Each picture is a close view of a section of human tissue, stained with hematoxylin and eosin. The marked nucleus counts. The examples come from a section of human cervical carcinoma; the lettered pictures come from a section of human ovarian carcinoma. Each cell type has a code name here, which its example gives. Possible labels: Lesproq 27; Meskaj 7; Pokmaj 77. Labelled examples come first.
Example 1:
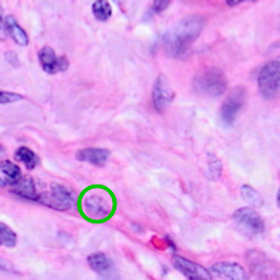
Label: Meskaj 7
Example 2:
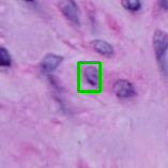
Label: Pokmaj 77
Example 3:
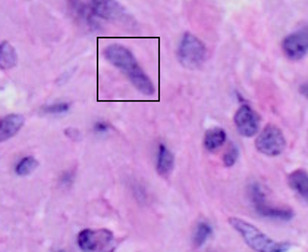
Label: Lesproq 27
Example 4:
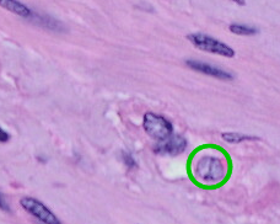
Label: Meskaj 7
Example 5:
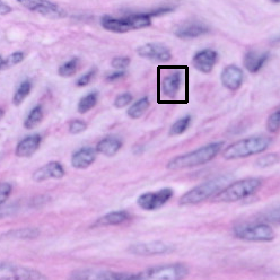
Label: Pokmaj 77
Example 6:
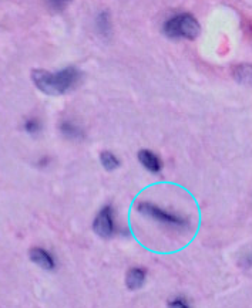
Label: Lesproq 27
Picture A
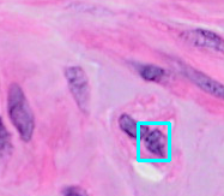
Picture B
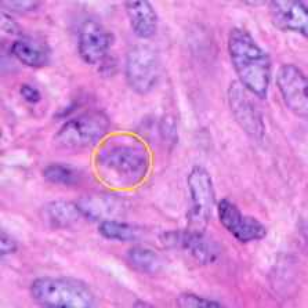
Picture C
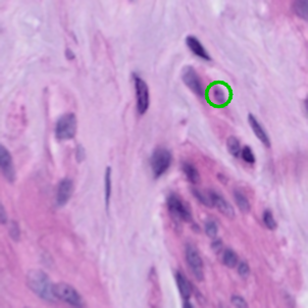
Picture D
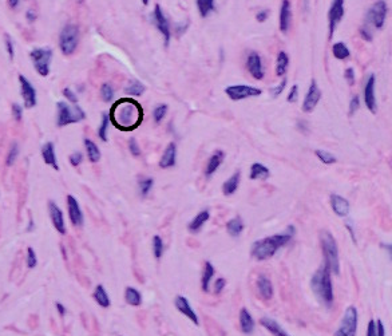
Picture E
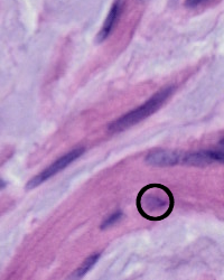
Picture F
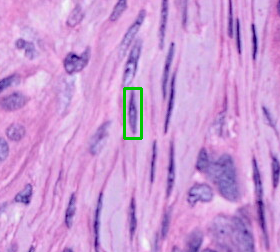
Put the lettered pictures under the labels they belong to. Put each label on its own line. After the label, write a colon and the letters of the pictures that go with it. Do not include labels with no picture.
Lesproq 27: B, F
Meskaj 7: A
Pokmaj 77: C, D, E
